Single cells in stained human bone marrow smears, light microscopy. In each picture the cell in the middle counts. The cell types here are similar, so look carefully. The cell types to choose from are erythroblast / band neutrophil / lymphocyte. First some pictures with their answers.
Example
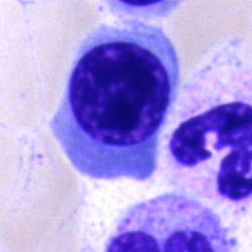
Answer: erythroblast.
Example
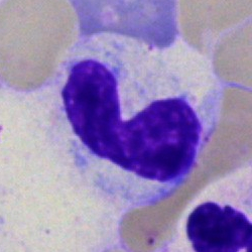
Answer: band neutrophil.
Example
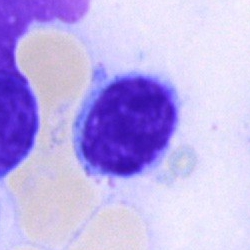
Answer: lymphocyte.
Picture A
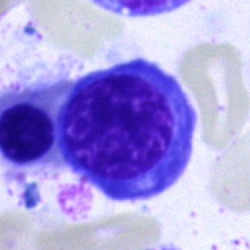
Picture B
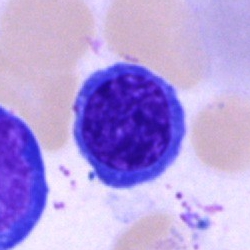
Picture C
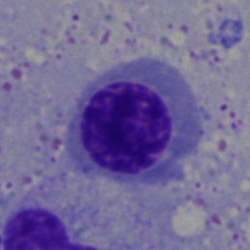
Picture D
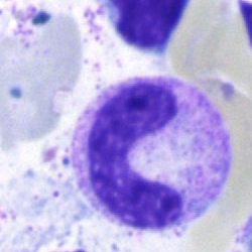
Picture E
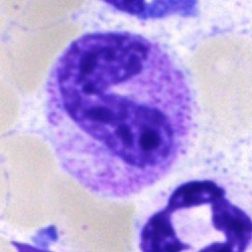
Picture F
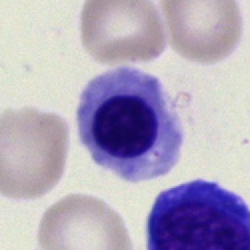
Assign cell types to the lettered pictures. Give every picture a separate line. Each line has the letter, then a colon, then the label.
A: erythroblast.
B: erythroblast.
C: erythroblast.
D: band neutrophil.
E: band neutrophil.
F: erythroblast.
